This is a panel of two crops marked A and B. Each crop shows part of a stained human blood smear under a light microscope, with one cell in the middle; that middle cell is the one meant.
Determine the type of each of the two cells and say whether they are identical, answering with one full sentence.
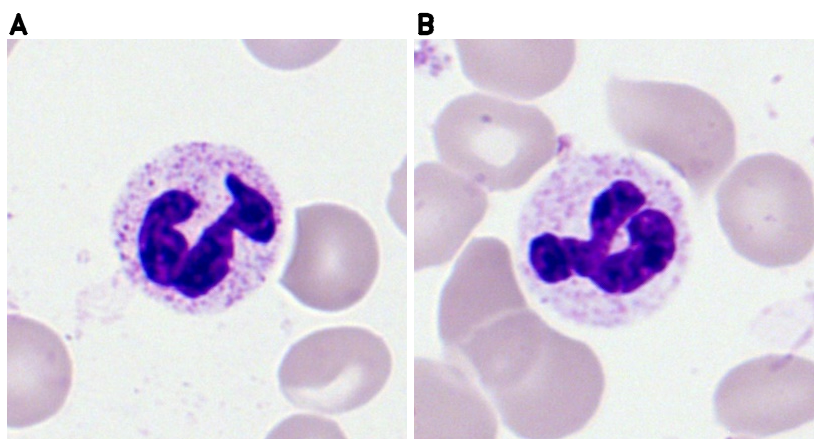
Yes, both crops do show segmented neutrophils in the middle.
